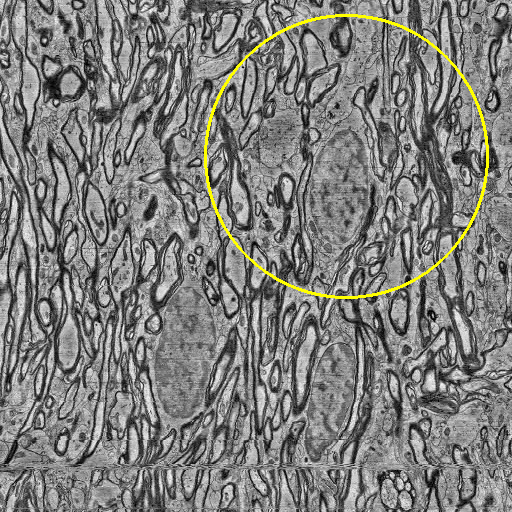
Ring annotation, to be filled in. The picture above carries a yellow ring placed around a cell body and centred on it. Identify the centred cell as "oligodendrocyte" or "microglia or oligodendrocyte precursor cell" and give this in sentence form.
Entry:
The cell in the middle of the ring is a microglial cell or oligodendrocyte precursor cell.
